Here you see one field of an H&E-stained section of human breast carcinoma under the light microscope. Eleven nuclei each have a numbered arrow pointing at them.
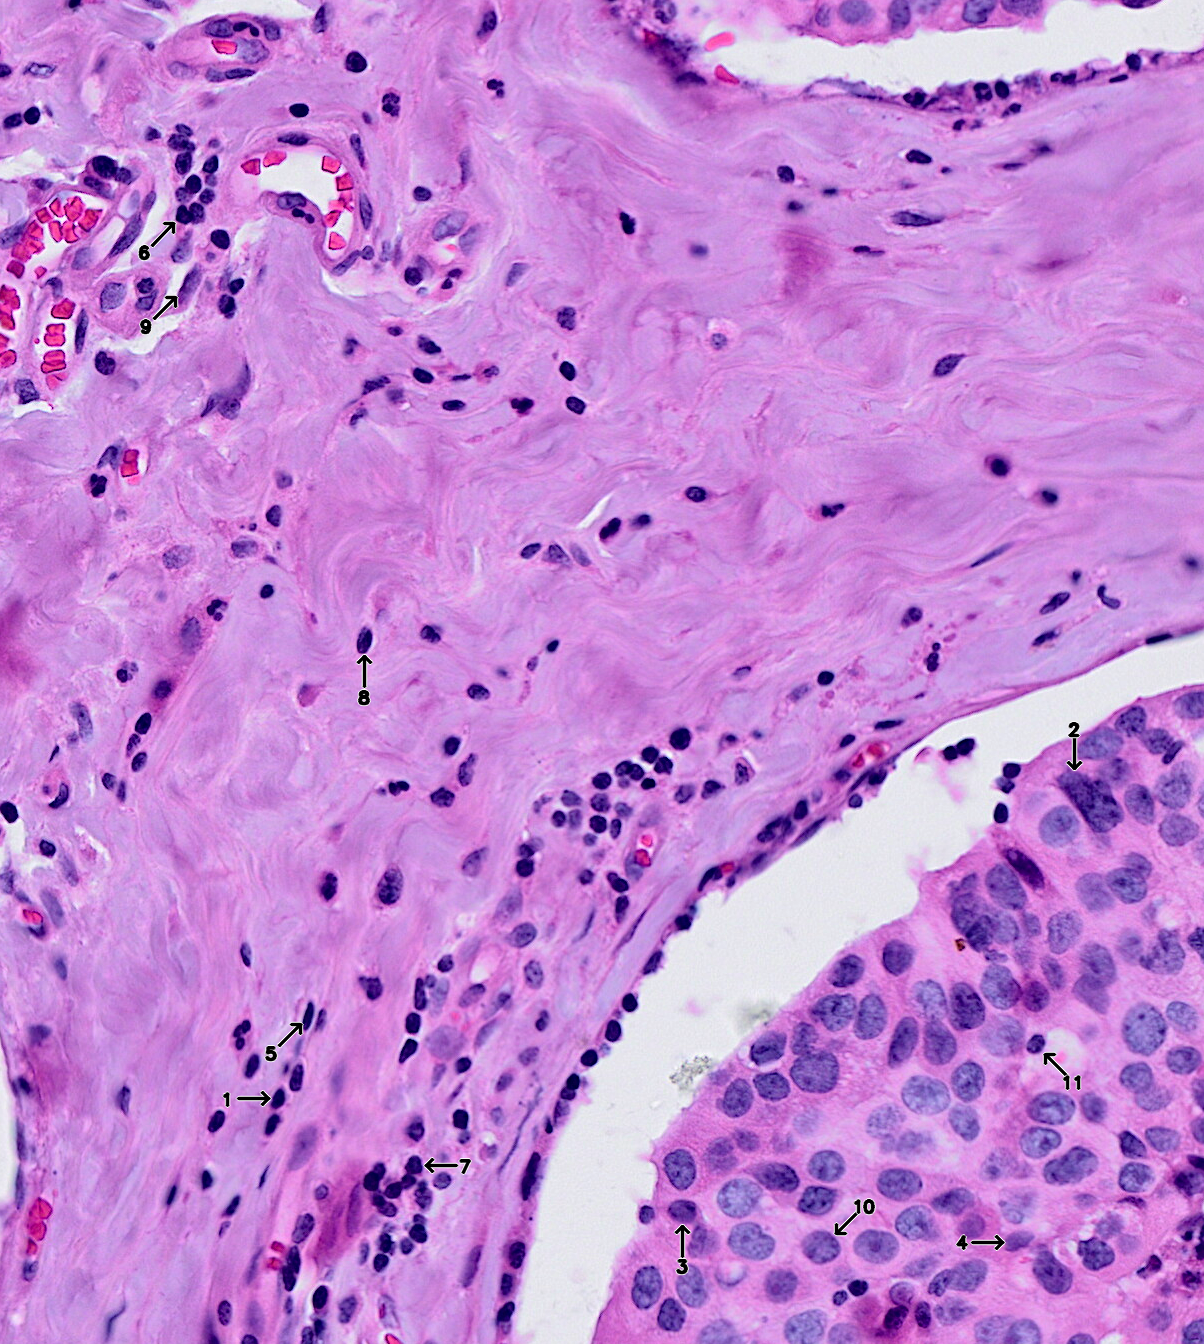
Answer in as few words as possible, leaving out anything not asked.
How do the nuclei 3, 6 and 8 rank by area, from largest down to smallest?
3, 8, 6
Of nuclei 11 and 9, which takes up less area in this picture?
11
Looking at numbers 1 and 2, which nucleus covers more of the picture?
2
